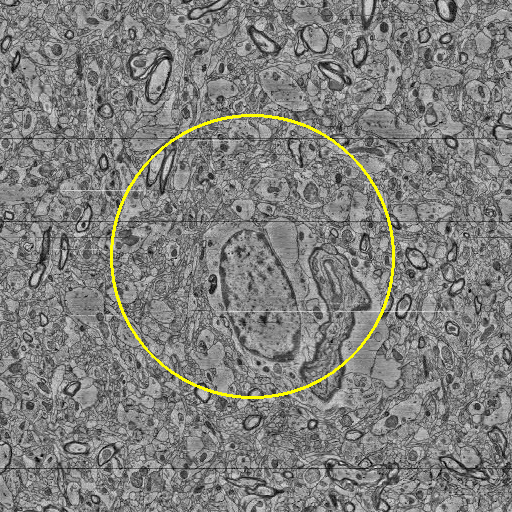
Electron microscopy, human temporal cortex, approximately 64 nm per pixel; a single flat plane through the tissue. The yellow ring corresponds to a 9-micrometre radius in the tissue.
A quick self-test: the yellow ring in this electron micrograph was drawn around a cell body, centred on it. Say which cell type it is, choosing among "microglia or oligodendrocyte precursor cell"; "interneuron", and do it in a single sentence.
The yellow-ringed cell is a microglial cell or oligodendrocyte precursor cell.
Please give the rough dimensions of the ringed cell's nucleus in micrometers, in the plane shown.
The nucleus of the ringed cell is clearly longer than it is wide in this plane, about 9 by 4 micrometres.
